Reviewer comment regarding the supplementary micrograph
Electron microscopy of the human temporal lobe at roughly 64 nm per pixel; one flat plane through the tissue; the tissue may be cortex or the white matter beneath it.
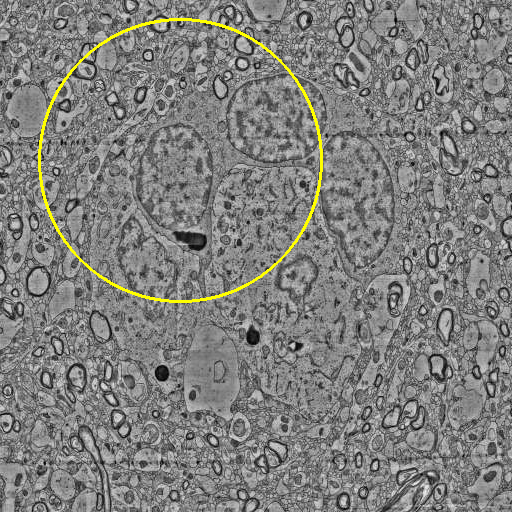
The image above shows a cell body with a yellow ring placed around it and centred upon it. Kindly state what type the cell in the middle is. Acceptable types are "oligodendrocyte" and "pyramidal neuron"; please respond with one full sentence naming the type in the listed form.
In the image above, the cell on which the yellow ring is centred is an oligodendrocyte.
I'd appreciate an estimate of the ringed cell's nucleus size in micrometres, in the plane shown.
Roughly 7 micrometres by 5 micrometres, in this plane.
